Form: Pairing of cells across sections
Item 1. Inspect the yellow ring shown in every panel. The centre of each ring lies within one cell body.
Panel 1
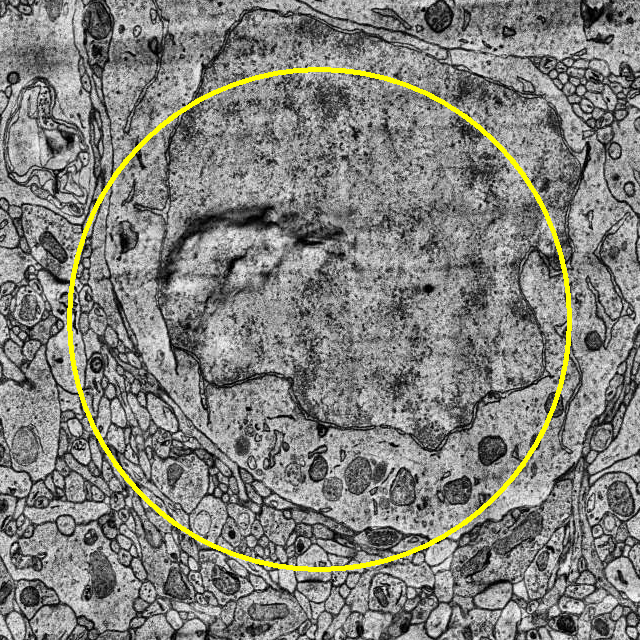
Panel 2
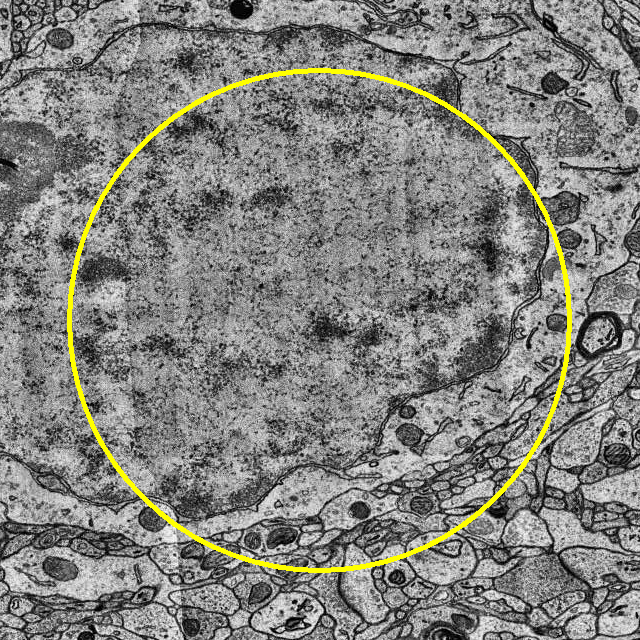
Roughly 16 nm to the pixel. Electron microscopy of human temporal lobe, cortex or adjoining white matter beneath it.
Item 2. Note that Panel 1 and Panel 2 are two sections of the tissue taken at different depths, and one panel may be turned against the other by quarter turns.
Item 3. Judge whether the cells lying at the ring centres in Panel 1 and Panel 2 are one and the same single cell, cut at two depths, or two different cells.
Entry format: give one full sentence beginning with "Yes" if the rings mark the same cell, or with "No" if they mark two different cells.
Yes, the two rings encircle a single cell, not a pair.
